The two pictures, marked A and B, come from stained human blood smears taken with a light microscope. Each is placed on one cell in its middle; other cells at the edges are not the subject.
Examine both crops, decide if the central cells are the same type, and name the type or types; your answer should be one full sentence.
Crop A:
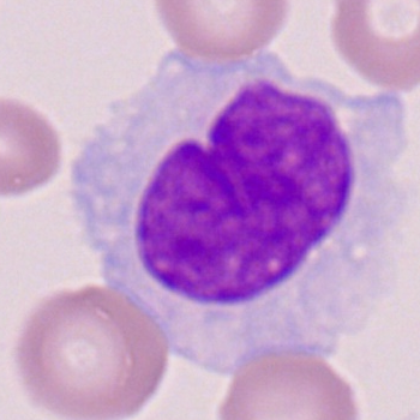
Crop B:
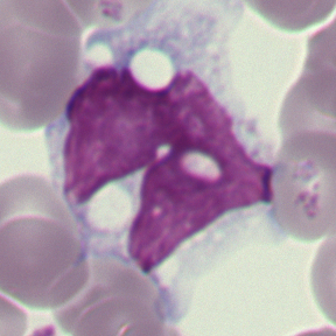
Yes, as an answer for this item, both crops show monocytes.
